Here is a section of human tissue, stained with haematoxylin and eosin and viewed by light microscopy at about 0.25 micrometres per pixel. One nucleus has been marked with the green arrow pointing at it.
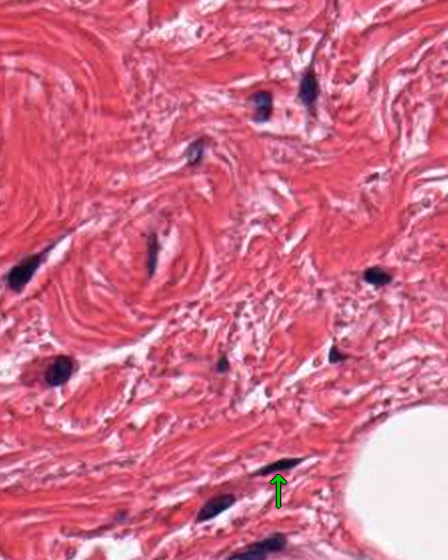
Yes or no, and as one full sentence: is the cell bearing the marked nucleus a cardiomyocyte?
No, not to a cardiomyocyte does the marked nucleus belong, but to a supporting cell.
